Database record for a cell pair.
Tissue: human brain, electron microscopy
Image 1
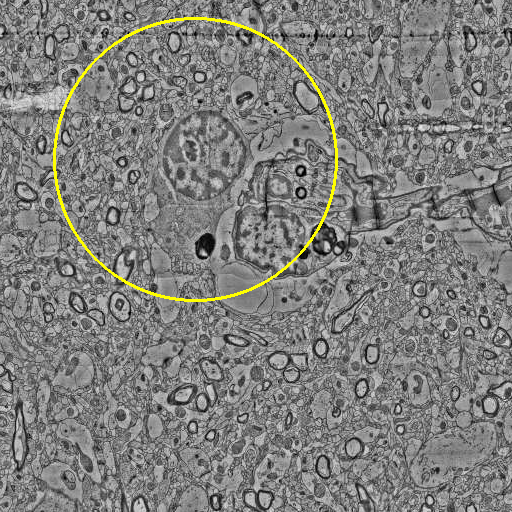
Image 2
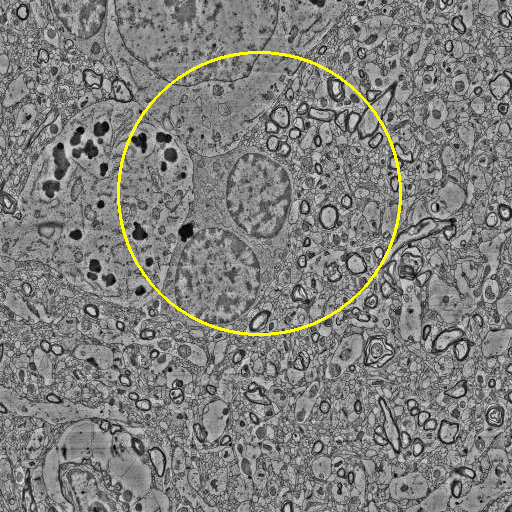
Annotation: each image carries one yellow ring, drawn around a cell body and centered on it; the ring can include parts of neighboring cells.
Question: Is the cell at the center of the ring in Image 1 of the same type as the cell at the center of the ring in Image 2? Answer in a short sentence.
Yes, the cells are of the same type.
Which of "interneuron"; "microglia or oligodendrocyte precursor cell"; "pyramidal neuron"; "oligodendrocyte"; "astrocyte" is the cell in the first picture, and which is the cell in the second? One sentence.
Each of the two pictures has an oligodendrocyte at the ring centre.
